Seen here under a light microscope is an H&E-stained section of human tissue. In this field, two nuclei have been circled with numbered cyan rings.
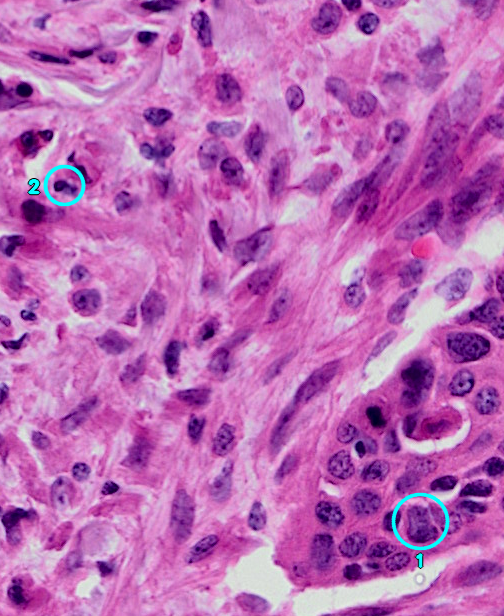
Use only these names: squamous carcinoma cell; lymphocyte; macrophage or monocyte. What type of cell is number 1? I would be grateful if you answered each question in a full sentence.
The numbered cell 1 in this field is a squamous carcinoma cell.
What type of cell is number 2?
The marked cell with the number 2 is recognised as a lymphocyte.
